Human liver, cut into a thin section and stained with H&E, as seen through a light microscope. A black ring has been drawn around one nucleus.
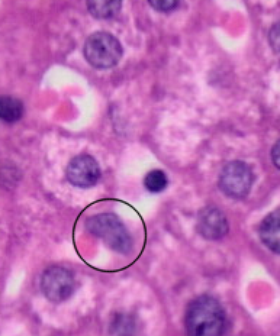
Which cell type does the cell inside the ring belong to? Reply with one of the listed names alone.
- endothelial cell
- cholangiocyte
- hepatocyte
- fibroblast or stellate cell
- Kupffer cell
Kupffer cell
